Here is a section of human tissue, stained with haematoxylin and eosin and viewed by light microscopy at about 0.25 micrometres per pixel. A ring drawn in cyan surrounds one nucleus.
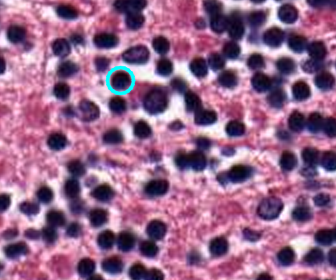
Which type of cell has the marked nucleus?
cerebellar granule cell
